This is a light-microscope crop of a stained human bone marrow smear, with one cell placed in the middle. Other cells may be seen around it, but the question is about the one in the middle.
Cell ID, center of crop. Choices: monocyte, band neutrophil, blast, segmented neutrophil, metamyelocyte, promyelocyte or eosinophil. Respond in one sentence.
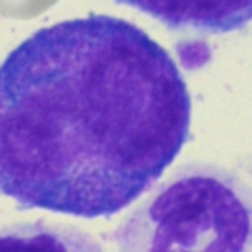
In the middle of this smear crop, the cell is a promyelocyte.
